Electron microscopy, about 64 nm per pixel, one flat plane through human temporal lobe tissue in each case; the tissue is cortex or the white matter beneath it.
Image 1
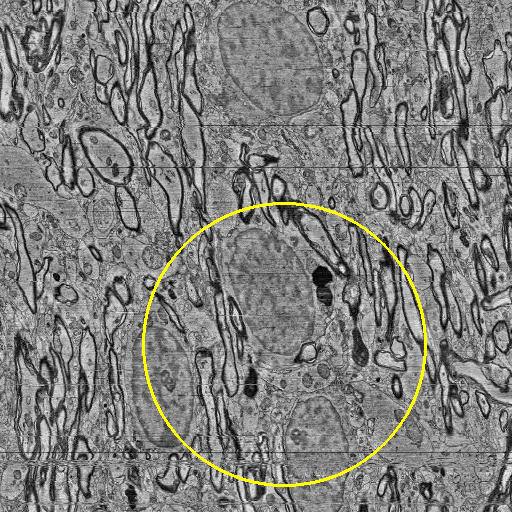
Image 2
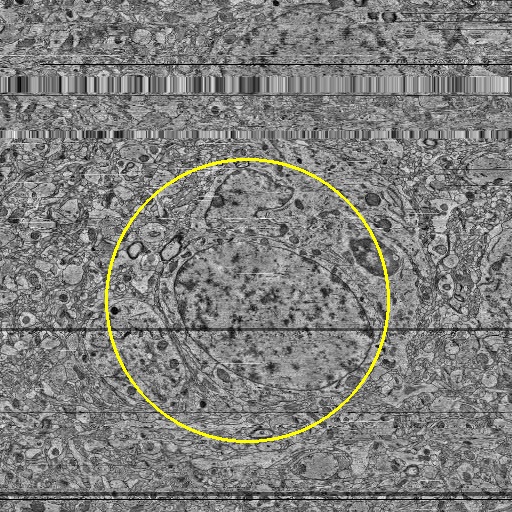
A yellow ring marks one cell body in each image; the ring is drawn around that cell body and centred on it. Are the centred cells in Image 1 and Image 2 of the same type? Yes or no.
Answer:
no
